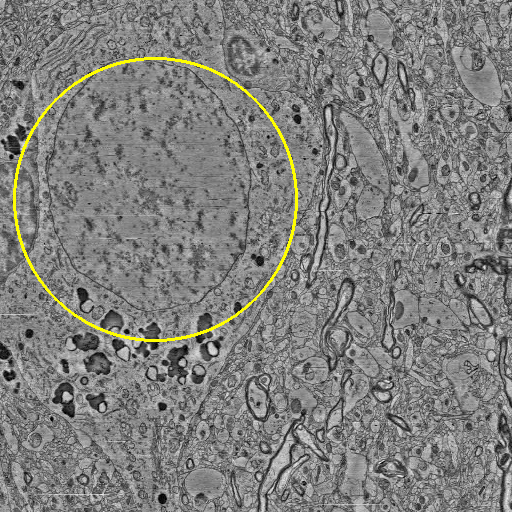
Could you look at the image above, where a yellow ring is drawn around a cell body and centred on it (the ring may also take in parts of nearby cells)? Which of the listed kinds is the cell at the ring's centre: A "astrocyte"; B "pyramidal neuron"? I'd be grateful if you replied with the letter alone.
B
